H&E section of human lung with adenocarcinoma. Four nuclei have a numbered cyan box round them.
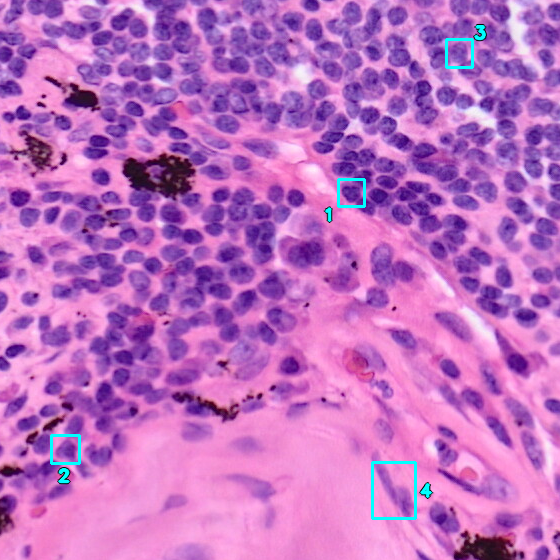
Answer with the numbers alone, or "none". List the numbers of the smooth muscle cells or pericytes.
none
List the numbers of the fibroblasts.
4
